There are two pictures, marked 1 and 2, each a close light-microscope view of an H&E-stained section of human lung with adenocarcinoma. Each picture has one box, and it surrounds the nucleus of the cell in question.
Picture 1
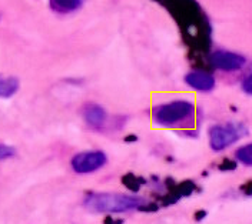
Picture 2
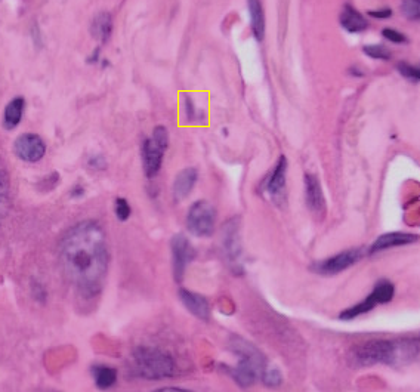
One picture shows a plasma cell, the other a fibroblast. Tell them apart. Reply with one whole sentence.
It is picture 1 that shows a plasma cell, and picture 2 that shows a fibroblast.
